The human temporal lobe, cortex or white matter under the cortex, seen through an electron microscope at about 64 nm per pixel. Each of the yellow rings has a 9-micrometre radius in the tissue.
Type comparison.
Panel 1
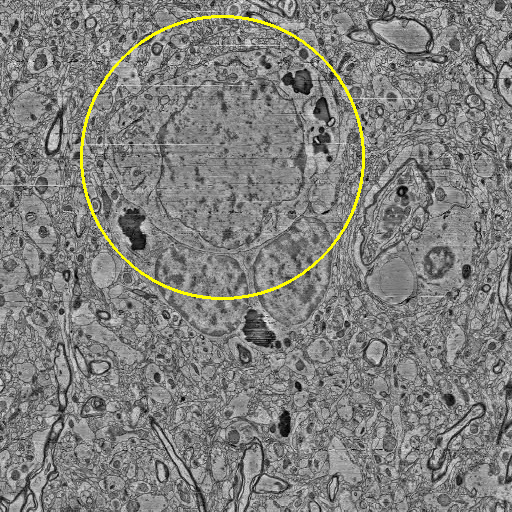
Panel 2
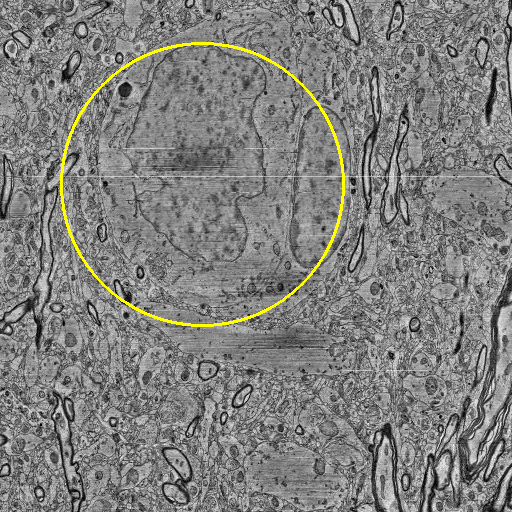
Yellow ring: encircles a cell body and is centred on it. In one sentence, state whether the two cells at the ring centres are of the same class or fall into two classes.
In these panels, the two cells at the ring centres are of the same class.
